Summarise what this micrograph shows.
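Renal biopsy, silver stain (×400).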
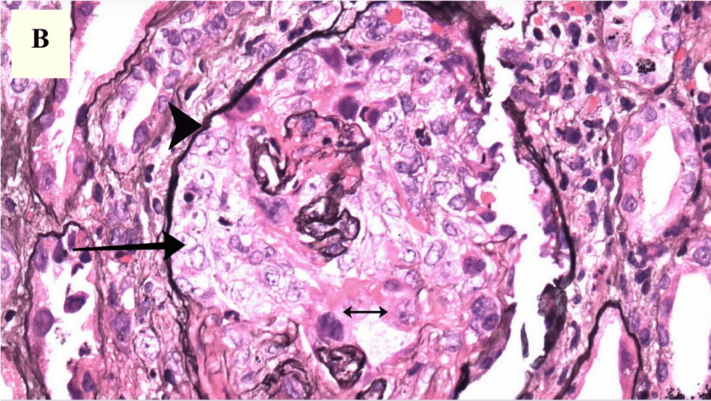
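Glomerulus with a cellular crescent of proliferating parietal epithelial cells lying inside Bowman's capsule. The capsule is a thick black silver-stained line curving around the outside of the glomerulus. Between it and the tuft lie several layers of plump cells with round to oval vesicular nuclei and pale cytoplasm. The capillary tuft is shrunken and compressed, its black-outlined loops crowded into a small central cluster. Pink acellular material lies among the crescent cells near the tuft.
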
